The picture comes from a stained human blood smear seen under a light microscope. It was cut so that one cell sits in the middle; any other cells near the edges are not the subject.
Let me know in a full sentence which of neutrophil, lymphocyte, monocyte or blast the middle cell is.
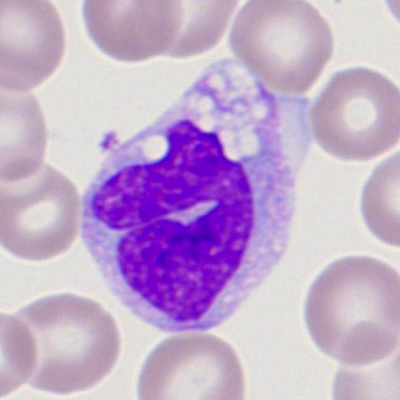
Among the cells in view, the one in the middle is a monocyte.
